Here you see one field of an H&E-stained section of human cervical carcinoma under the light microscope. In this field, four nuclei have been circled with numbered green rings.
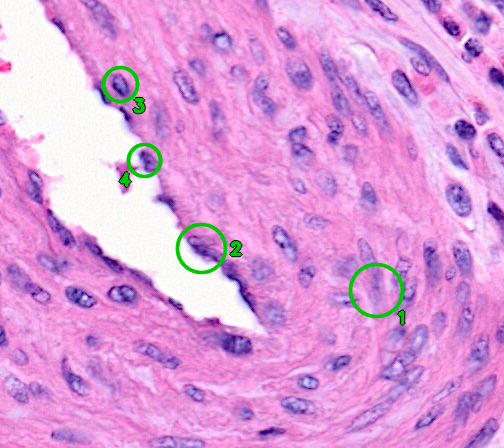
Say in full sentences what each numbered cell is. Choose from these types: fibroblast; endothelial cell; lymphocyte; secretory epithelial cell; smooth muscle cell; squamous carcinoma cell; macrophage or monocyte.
Cell 1 is a smooth muscle cell, cell 2 is an endothelial cell, cell 3 is a smooth muscle cell and cell 4 is an endothelial cell.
